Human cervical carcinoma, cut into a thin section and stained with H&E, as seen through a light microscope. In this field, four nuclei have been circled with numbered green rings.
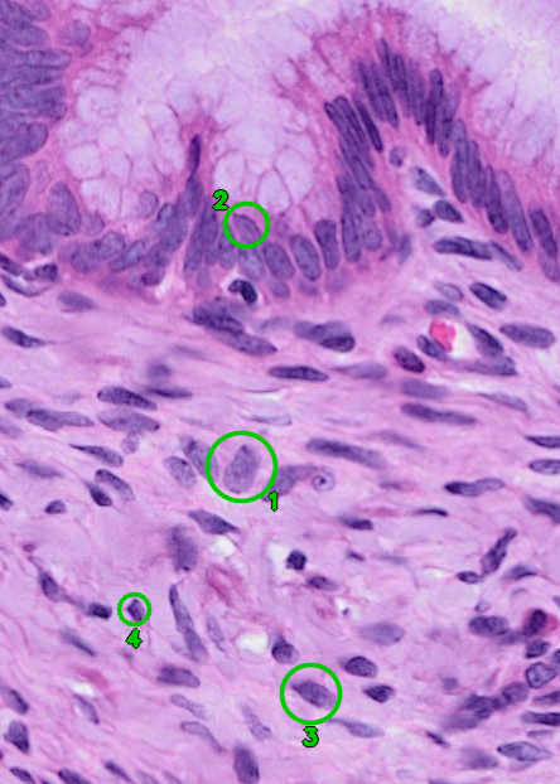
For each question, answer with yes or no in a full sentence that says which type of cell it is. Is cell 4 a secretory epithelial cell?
No, instead of a secretory epithelial cell, the cell with number 4 is a fibroblast.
